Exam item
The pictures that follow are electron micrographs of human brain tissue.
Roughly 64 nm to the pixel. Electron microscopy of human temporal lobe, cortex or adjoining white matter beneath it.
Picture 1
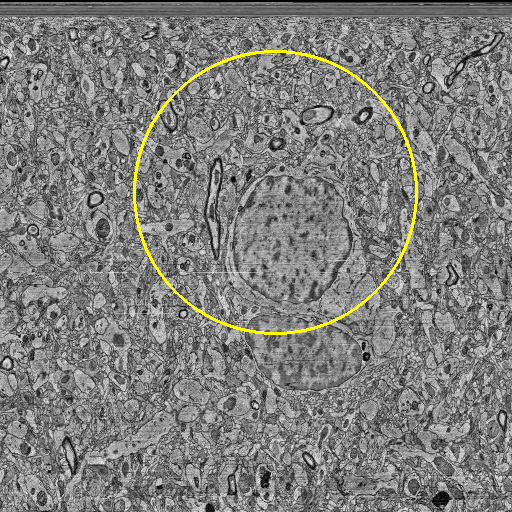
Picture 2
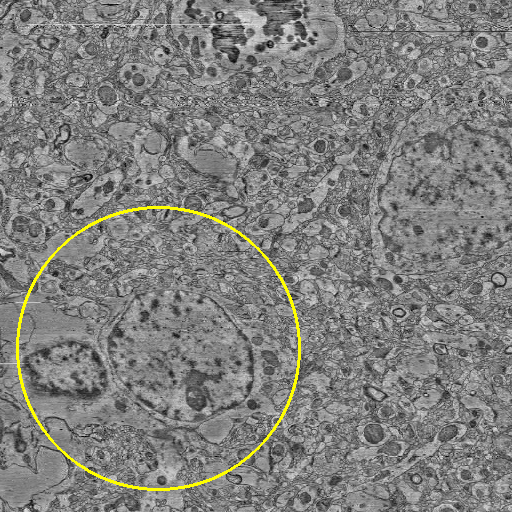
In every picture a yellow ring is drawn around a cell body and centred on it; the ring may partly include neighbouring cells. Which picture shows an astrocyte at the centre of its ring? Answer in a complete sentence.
The cell at the centre of the ring in Picture 2 is the one asked for.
